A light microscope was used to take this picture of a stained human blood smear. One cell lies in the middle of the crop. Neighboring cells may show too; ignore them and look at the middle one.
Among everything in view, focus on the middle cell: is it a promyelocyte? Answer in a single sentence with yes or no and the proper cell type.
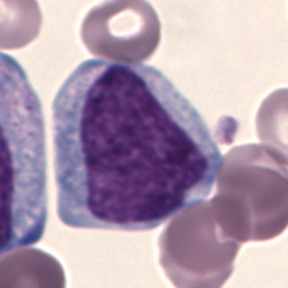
Yes, the cell lying in the centre of the crop is identified as a promyelocyte.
